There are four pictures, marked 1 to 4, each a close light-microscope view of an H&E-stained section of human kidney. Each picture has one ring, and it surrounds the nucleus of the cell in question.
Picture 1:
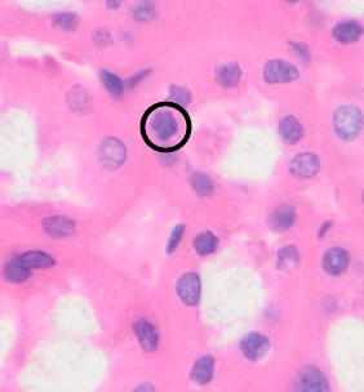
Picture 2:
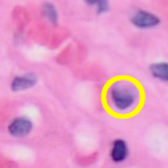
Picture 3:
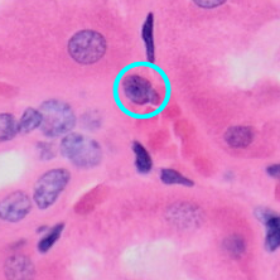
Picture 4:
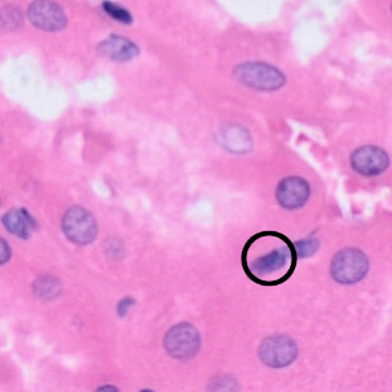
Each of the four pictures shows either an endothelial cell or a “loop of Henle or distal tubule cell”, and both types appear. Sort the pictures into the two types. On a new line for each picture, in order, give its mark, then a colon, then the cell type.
1: loop of Henle or distal tubule cell
2: endothelial cell
3: endothelial cell
4: endothelial cell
